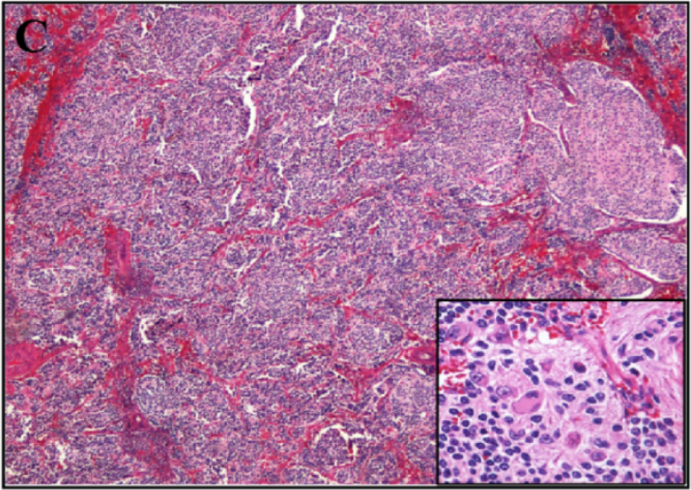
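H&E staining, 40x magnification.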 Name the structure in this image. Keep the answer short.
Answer: Small round primitive cell clusters.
